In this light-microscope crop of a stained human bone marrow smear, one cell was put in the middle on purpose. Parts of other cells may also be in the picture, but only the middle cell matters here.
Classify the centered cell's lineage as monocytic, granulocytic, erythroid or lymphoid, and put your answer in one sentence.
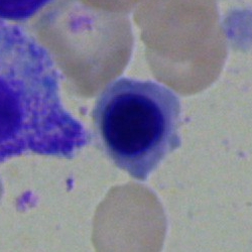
The central cell's lineage is erythroid.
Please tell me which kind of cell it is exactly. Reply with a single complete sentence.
The middle position in this crop is taken by an erythroblast.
